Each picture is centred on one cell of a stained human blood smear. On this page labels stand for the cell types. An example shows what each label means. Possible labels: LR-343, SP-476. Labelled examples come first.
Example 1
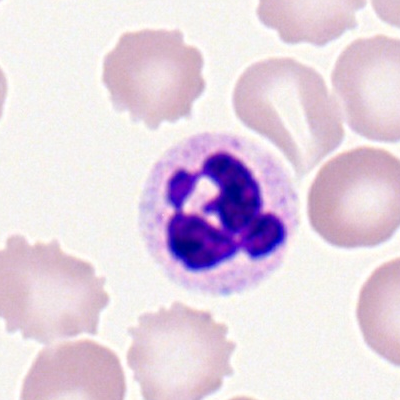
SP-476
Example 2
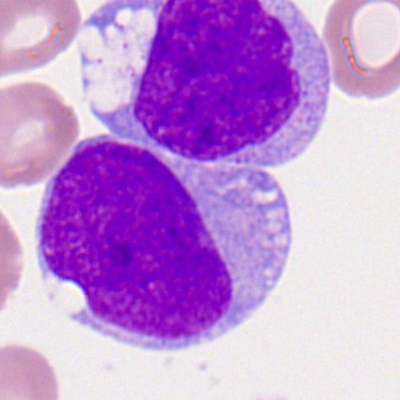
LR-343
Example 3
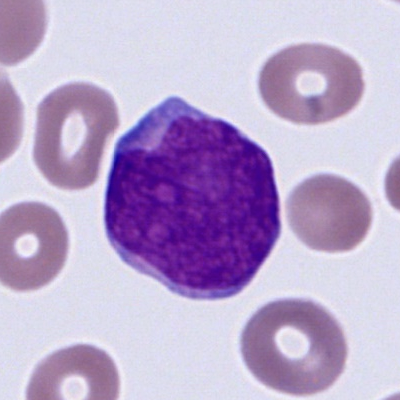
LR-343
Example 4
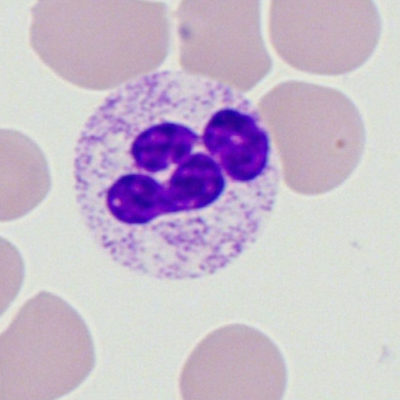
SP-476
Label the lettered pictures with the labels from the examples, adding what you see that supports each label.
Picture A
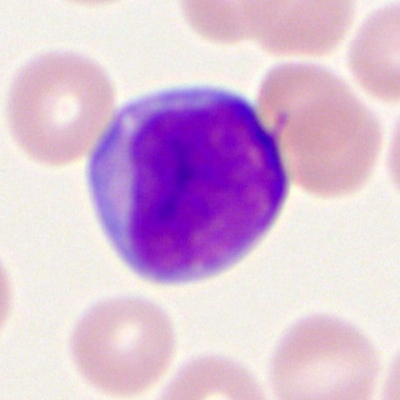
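LR-343. Reason: The cytoplasm forms a narrow rim that is widest on the left side.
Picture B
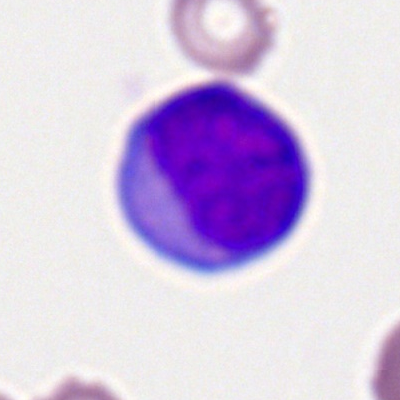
LR-343. Reason: The nucleus fills most of the cell and sits toward the upper right.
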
